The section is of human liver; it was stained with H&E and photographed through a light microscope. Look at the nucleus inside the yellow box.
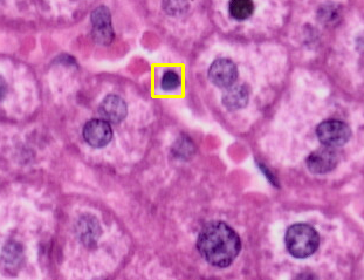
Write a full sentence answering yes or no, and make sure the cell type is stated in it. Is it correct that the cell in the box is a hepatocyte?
No, the cell in the box is not a hepatocyte, being instead a lymphocyte.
